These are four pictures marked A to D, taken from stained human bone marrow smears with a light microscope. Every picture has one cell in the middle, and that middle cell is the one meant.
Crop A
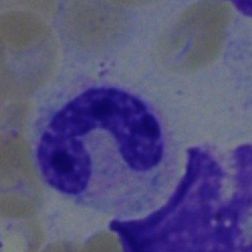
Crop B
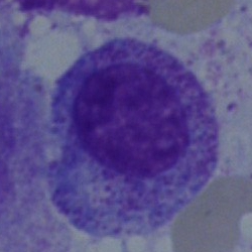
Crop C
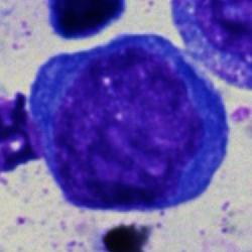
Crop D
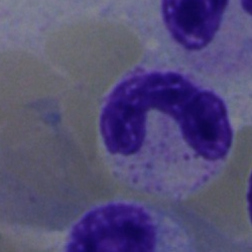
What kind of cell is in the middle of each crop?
A: band neutrophil
B: myelocyte
C: blast
D: band neutrophil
